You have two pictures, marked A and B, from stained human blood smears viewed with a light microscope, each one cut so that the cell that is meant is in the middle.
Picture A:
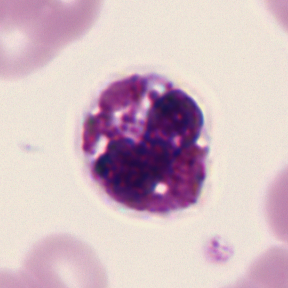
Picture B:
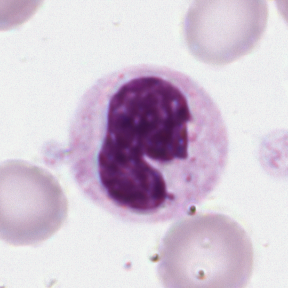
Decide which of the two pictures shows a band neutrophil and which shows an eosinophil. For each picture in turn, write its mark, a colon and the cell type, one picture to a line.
A: eosinophil
B: band neutrophil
